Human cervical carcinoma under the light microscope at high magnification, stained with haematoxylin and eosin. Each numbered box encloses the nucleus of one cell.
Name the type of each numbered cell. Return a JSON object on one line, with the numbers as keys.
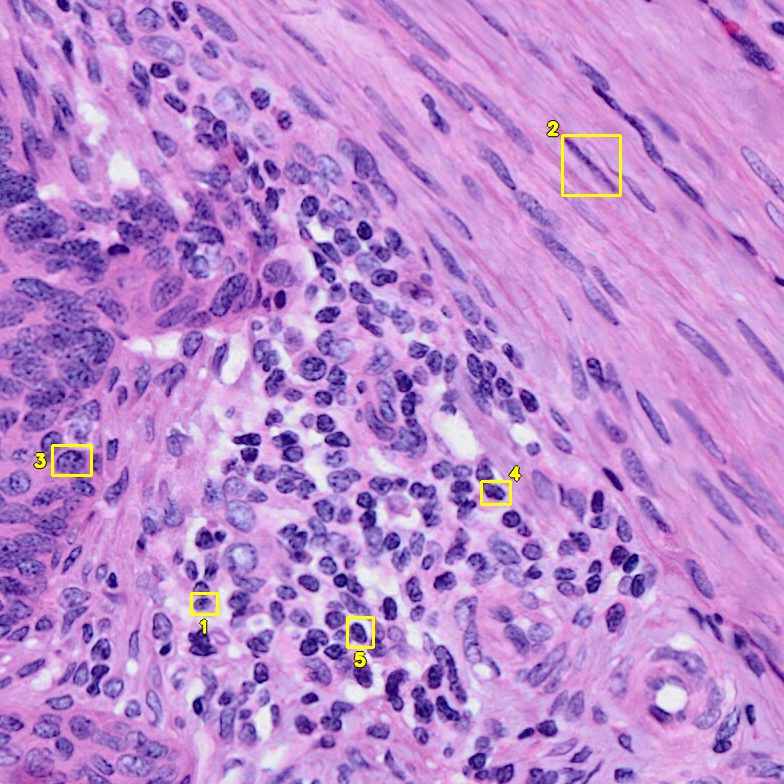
{"1": "lymphocyte", "2": "smooth muscle cell", "3": "squamous carcinoma cell", "4": "lymphocyte", "5": "lymphocyte"}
